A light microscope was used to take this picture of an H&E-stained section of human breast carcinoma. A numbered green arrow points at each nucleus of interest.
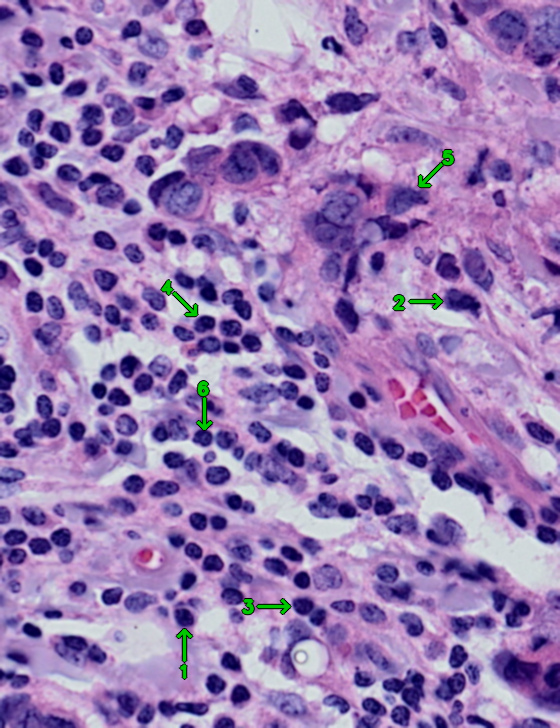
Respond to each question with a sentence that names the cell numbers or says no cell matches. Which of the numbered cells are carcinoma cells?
The cells bearing the numbers 2 and 5 are carcinoma cells.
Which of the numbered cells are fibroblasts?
The numbered cells are not fibroblasts, not even one of them.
